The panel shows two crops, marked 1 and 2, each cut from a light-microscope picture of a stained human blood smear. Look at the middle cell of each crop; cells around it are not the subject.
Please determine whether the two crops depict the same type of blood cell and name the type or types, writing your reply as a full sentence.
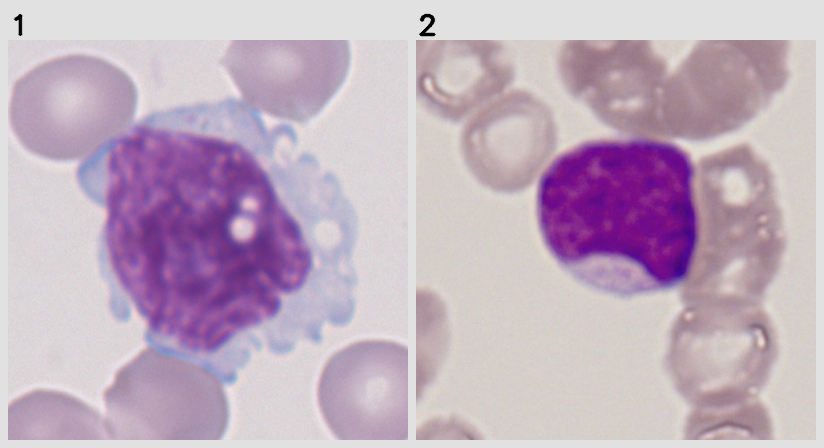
Yes, both of the crops show blasts.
